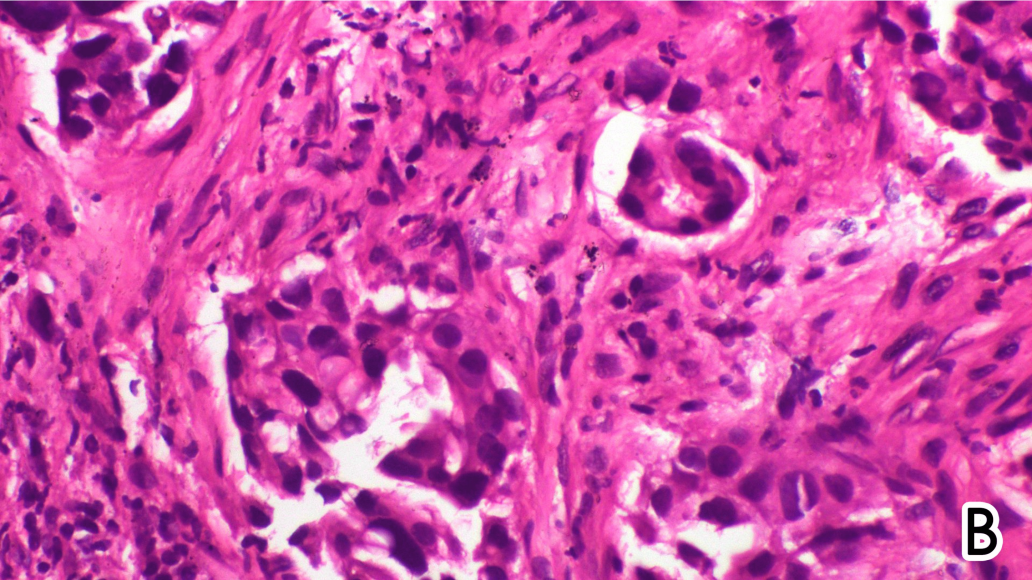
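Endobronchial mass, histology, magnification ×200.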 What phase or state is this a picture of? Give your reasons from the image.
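Tumor nuclei vary in size and shape. Many nuclei are enlarged and dark-staining. Nuclei are crowded within the gland linings.
Moderately pleomorphic nuclei.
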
